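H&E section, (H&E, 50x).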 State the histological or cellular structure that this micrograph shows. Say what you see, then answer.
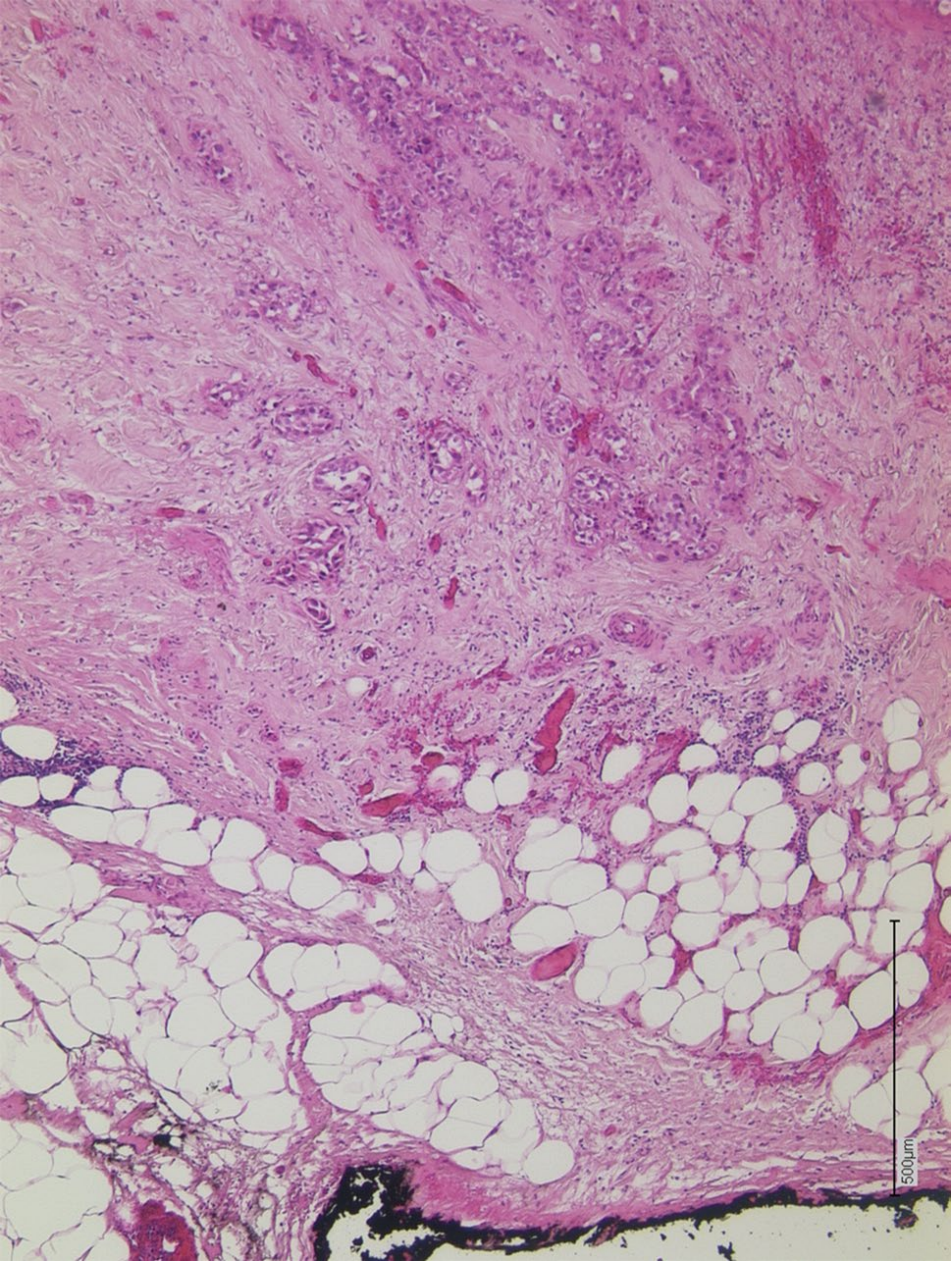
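Irregular nests and small glands of epithelial cells with dark nuclei lie in the upper half. The epithelial nests are set in a dense pink fibrous stroma.
Tumor glands.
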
